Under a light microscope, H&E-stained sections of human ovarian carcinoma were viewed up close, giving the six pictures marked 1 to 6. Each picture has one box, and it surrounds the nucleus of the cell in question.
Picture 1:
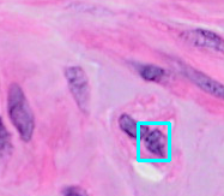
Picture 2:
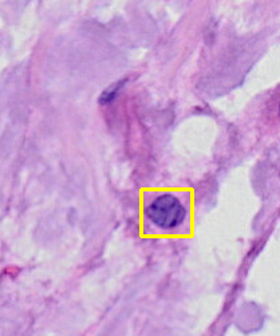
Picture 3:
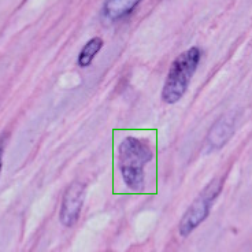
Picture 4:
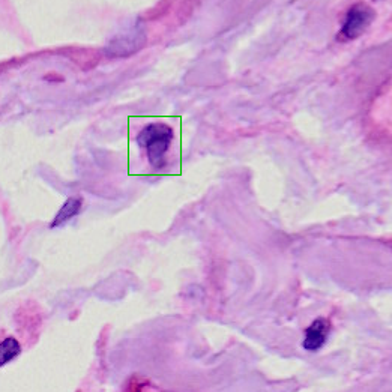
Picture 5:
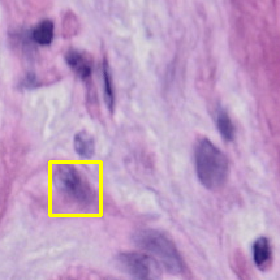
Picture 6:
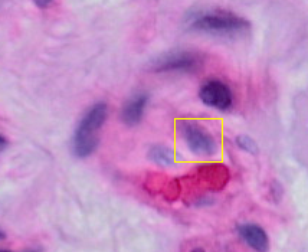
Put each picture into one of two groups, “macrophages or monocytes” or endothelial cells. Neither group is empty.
1: endothelial cell
2: macrophage or monocyte
3: macrophage or monocyte
4: macrophage or monocyte
5: endothelial cell
6: endothelial cell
